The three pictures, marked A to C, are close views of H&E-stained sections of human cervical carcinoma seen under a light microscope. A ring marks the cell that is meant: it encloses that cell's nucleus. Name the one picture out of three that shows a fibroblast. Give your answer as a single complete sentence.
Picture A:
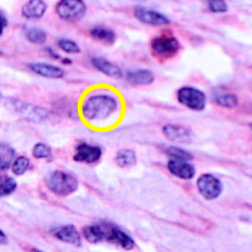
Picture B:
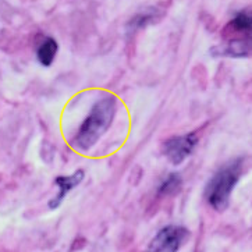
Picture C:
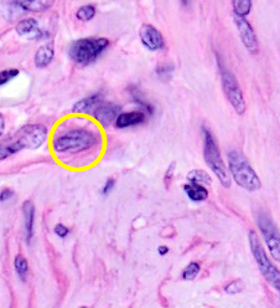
The fibroblast is the one in picture B.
